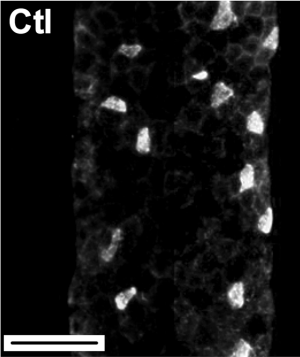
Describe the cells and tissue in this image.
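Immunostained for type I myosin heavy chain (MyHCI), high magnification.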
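A vertical band of tissue shows packed polygonal profiles with faint grey outlines against a dark background. Only a few profiles, spread widely apart, are filled with bright white signal.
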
